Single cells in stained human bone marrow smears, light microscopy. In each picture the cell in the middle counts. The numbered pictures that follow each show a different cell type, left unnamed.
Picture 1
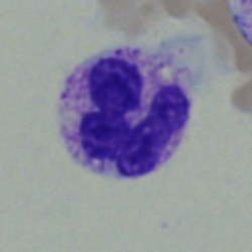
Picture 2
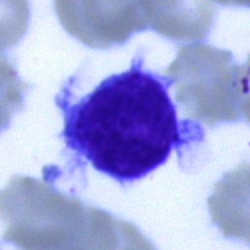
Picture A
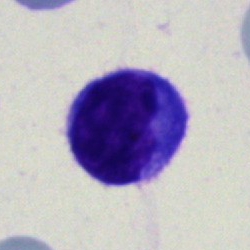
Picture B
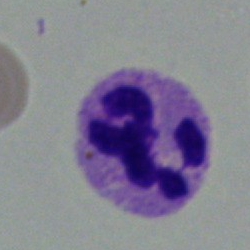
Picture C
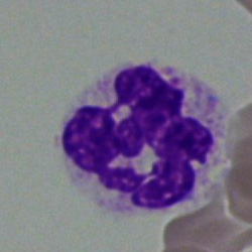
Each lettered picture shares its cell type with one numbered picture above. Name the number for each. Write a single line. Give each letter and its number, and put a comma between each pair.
A 2, B 1, C 1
